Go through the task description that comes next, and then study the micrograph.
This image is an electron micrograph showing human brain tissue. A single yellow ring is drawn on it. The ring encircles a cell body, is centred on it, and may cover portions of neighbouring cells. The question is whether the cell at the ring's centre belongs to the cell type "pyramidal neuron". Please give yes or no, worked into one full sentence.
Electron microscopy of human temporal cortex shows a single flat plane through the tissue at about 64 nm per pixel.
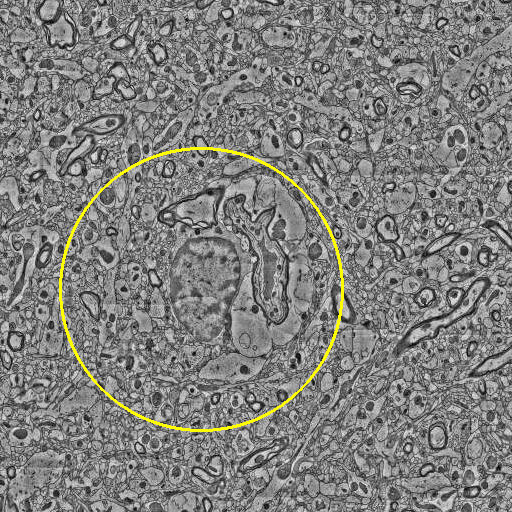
No, the cell that the ring is centred on in the micrograph is of another kind.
